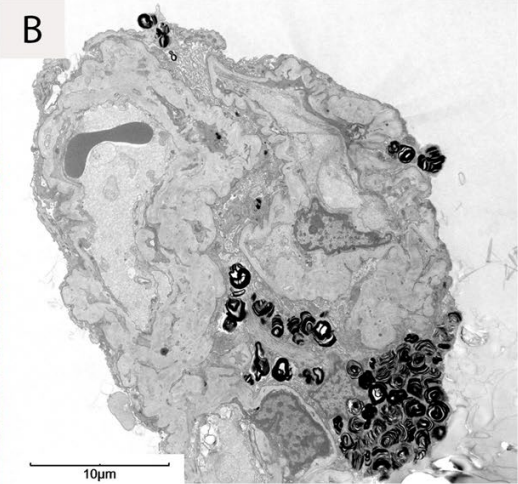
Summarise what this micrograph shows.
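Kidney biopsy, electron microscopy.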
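Glomerular capillary loop with a red blood cell in its lumen, covered by podocytes packed with inclusions. The podocyte cytoplasm holds numerous electron-dense bodies of concentric dark lamellae, most crowded at the lower right.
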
